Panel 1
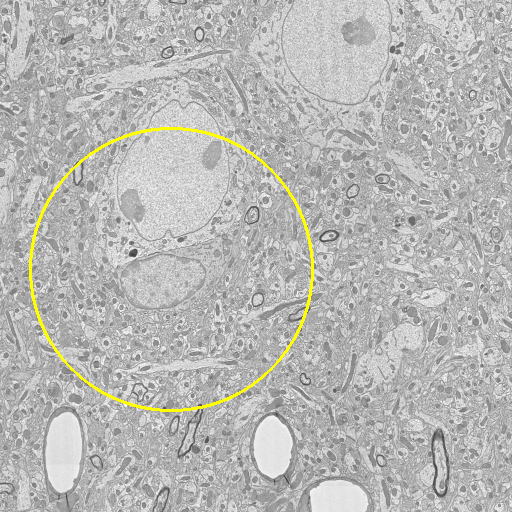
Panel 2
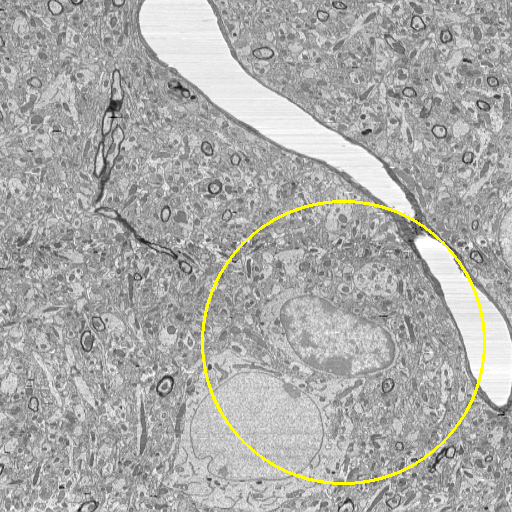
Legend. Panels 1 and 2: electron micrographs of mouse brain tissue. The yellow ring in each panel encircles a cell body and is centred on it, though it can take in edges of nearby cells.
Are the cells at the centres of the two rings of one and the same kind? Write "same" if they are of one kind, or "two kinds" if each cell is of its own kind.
same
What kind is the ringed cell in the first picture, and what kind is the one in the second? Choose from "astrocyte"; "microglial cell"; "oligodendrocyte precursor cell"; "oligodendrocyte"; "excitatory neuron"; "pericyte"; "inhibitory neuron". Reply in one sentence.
Each of the ringed cells, first and second, is an oligodendrocyte.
